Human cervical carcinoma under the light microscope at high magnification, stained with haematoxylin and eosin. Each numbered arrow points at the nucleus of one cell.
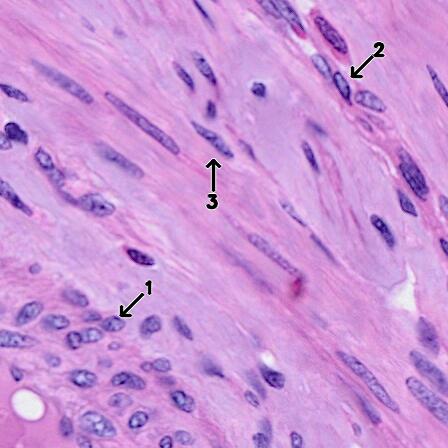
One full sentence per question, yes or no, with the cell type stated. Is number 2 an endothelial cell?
Yes, kindly take note: the cell numbered 2 is an endothelial cell.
